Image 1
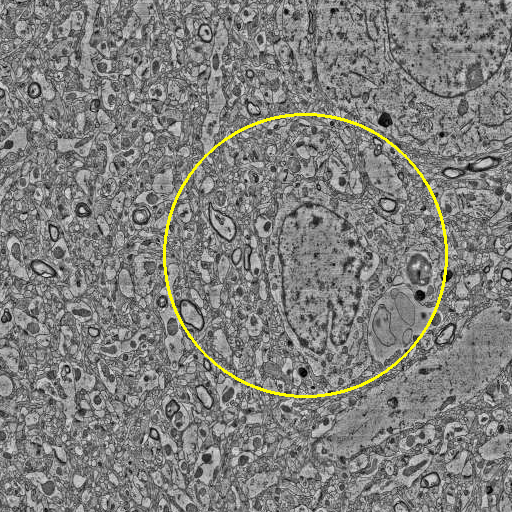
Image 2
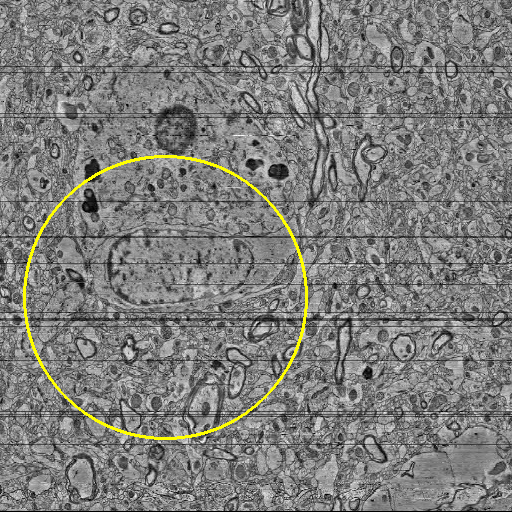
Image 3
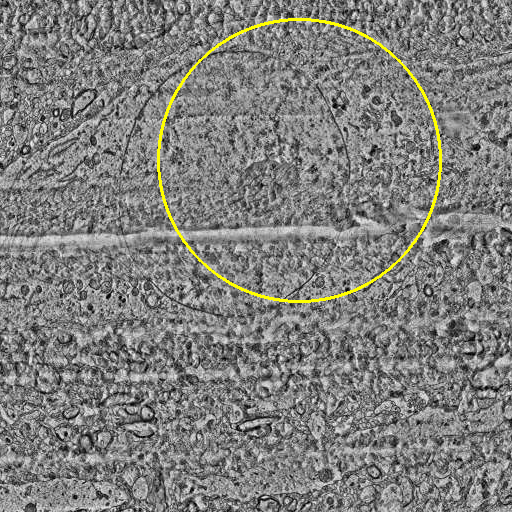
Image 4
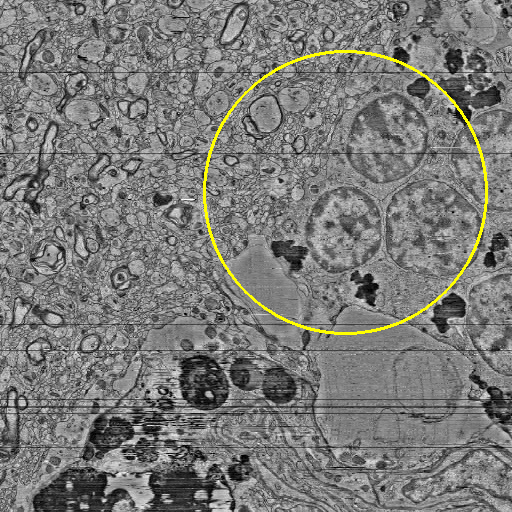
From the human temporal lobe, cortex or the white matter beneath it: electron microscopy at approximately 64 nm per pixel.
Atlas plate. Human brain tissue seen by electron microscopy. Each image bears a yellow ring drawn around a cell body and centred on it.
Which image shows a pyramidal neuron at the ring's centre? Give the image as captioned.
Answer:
Image 3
